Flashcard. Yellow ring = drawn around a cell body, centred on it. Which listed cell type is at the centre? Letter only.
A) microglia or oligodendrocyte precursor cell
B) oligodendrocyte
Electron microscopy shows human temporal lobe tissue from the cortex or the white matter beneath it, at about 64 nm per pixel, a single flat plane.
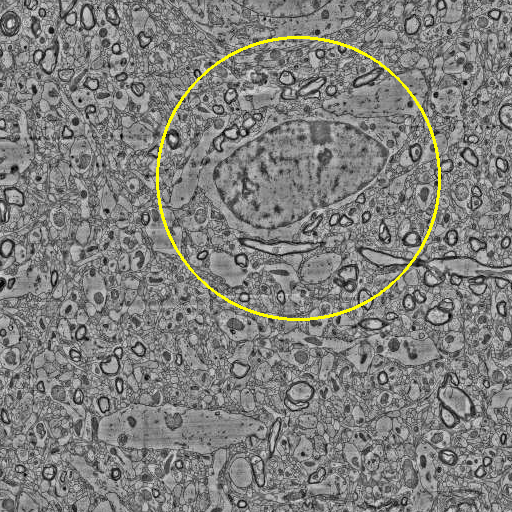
A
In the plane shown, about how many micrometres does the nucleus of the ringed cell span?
Roughly 11 micrometres by 7 micrometres, so the nucleus is clearly longer than it is wide in this plane.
